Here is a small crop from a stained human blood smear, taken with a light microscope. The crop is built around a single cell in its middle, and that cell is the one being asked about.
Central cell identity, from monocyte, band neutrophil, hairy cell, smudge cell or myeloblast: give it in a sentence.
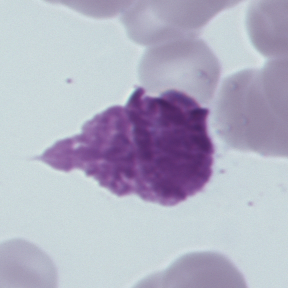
Centrally within this crop lies a smudge cell.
